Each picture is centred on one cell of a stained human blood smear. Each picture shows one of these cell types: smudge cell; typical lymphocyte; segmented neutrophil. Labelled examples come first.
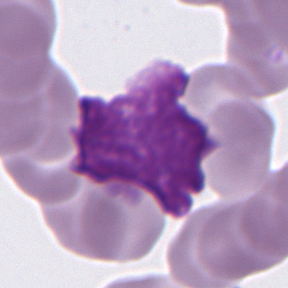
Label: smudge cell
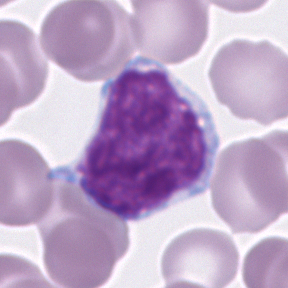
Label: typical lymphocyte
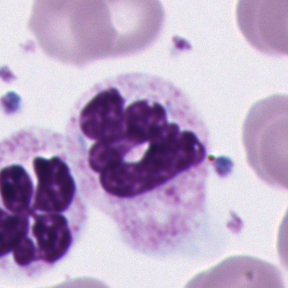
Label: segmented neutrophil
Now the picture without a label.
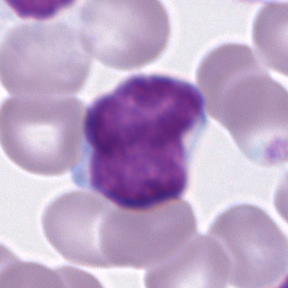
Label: typical lymphocyte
